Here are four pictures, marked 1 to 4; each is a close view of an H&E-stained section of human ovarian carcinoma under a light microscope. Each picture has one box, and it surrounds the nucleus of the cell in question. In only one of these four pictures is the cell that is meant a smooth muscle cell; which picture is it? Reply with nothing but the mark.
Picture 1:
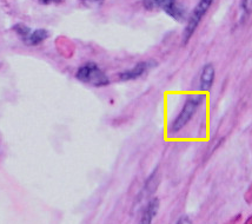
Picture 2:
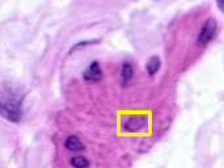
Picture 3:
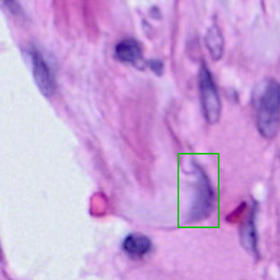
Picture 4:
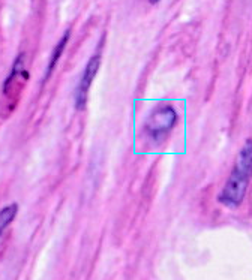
2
